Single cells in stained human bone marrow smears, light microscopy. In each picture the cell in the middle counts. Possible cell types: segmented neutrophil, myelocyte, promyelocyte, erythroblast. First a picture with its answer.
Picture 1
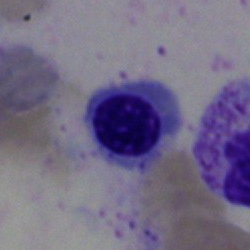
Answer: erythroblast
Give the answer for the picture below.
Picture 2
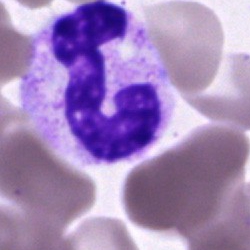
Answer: segmented neutrophil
